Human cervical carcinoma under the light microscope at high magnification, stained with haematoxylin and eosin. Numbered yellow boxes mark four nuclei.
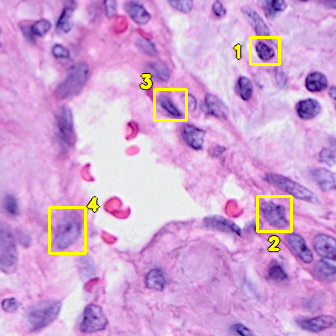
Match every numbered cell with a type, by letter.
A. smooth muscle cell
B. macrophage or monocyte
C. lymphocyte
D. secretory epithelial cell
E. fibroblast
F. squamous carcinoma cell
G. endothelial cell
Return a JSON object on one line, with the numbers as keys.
{"1": "C", "2": "G", "3": "G", "4": "G"}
